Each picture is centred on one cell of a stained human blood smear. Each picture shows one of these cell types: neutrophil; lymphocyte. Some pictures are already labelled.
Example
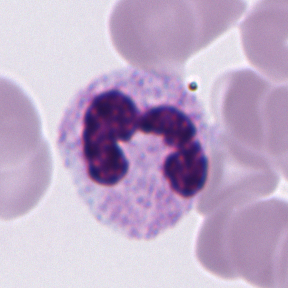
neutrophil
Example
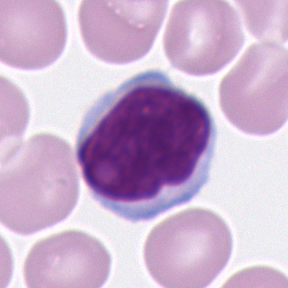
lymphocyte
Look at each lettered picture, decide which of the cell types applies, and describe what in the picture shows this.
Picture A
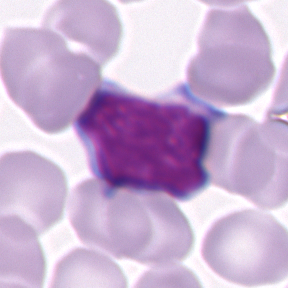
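lymphocyte. The nucleus is a single unlobed mass that fills almost the whole cell.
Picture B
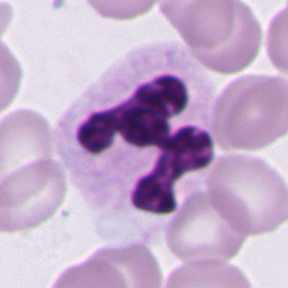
neutrophil. The cytoplasm is plentiful and pale pinkish-lilac.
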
